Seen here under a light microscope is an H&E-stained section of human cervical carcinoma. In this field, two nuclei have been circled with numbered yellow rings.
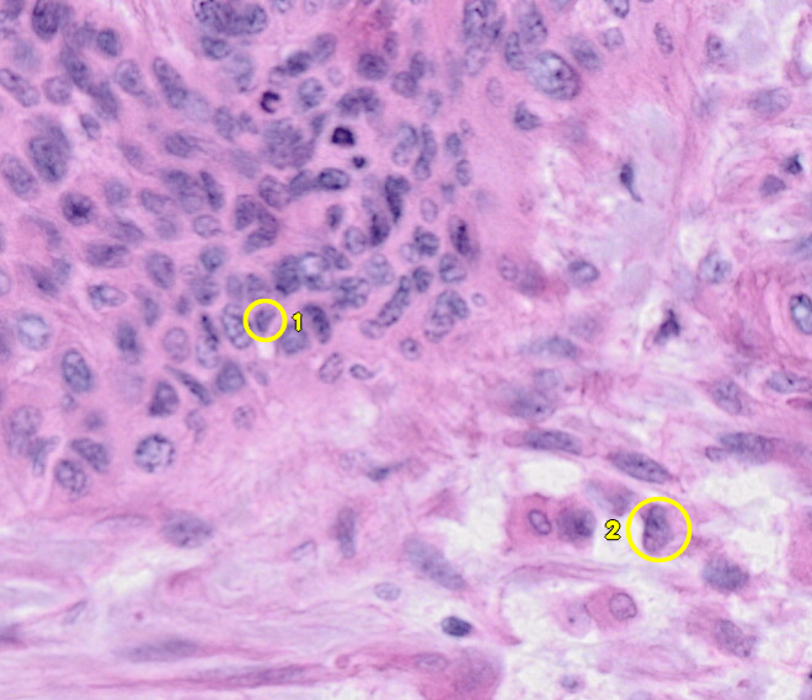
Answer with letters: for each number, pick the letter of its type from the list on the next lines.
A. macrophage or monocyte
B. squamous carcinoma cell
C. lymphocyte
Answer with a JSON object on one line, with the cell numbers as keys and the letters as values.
{"1": "B", "2": "A"}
